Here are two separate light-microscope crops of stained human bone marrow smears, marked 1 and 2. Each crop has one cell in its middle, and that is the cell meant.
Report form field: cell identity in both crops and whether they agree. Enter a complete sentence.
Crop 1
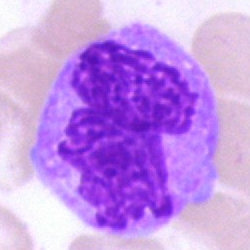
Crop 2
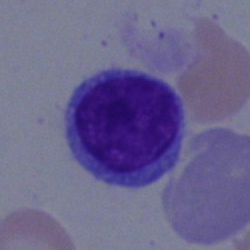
No, crop 1 contains a monocyte, whereas crop 2 contains a lymphocyte.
